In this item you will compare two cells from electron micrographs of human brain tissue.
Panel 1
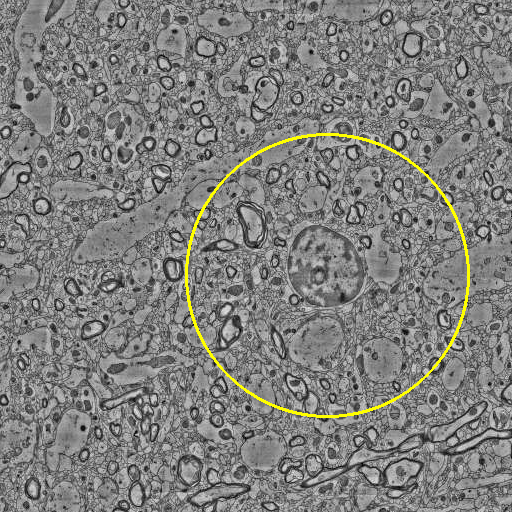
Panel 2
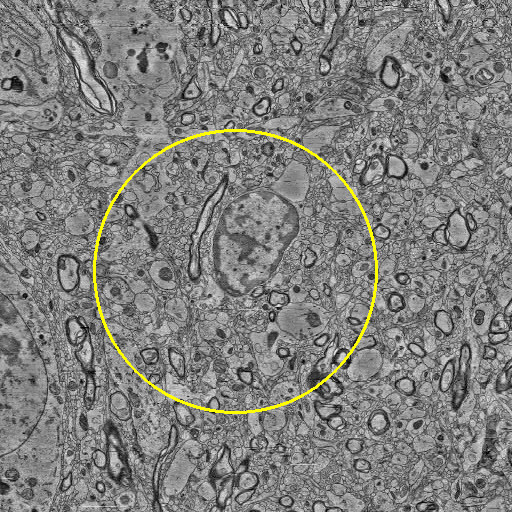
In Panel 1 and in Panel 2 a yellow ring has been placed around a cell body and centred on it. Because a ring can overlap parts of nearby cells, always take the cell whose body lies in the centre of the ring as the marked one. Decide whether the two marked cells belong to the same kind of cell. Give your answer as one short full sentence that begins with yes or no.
Yes, the two marked cells belong to the same kind of cell.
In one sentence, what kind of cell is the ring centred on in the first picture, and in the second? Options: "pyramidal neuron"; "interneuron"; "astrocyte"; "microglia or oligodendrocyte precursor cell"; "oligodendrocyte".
The ring centre holds a microglial cell or oligodendrocyte precursor cell in each of the two pictures.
